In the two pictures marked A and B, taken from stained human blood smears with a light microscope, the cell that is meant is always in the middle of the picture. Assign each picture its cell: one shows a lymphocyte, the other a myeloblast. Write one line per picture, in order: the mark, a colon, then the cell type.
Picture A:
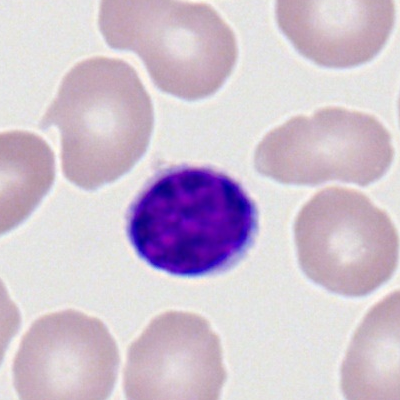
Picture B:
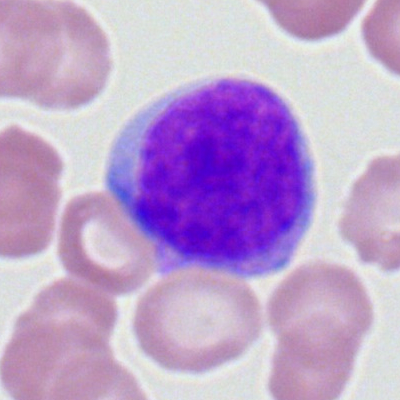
A: lymphocyte
B: myeloblast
